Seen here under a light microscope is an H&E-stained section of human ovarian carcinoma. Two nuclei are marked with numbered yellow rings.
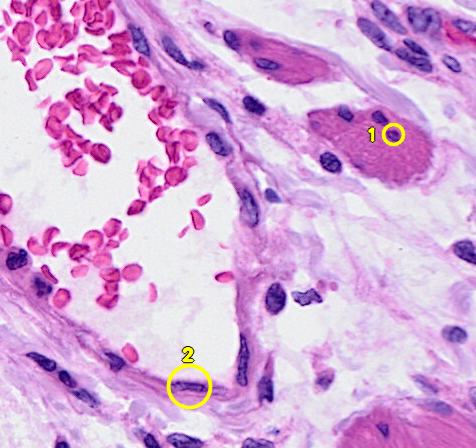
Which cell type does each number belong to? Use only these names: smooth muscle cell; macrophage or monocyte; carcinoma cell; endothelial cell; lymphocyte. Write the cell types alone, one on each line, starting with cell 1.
smooth muscle cell
endothelial cell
